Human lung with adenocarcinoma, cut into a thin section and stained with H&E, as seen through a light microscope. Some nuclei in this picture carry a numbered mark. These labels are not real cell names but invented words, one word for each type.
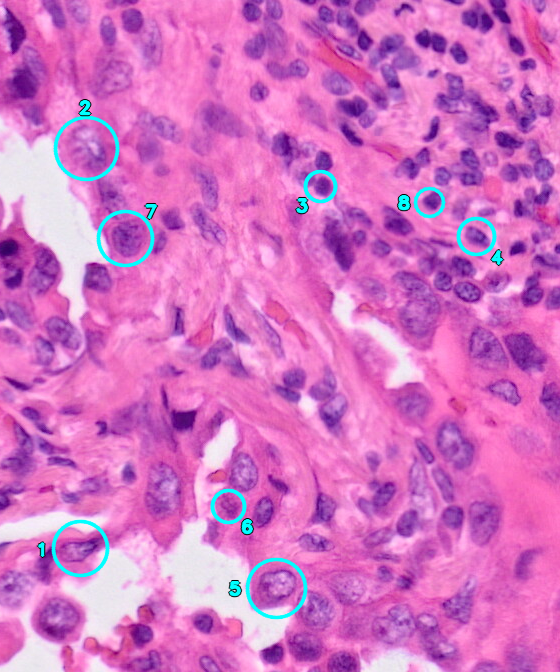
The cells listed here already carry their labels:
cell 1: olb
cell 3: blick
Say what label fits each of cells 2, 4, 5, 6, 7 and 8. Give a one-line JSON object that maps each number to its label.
{"2": "olb", "4": "blick", "5": "olb", "6": "olb", "7": "olb", "8": "blick"}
